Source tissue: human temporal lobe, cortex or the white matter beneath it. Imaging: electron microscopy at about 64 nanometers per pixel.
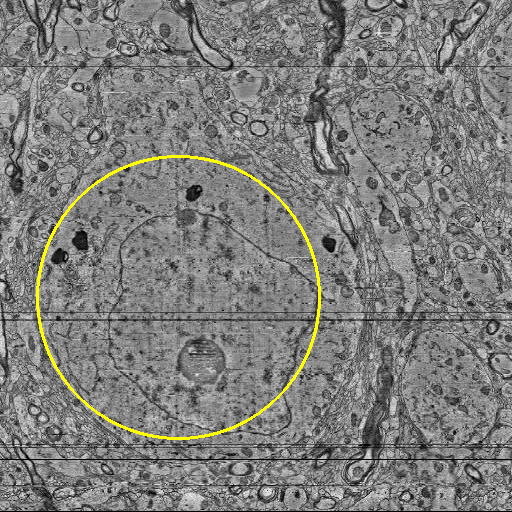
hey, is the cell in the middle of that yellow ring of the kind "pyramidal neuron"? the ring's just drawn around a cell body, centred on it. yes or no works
yes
